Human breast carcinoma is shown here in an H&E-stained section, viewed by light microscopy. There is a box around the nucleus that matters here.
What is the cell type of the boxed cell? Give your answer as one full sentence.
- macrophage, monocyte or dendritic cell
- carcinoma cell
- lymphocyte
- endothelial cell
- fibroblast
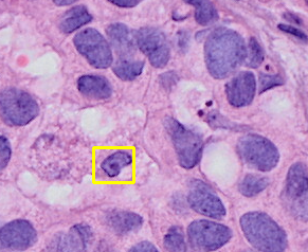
In cellular terms, the boxed cell is a macrophage, monocyte or dendritic cell.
